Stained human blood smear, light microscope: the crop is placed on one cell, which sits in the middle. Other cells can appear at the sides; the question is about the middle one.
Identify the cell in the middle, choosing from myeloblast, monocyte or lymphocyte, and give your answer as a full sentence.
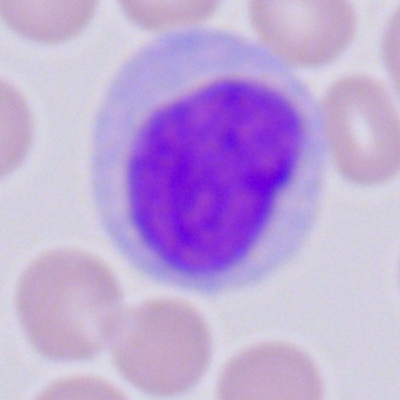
Here the centrally located cell is a myeloblast.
